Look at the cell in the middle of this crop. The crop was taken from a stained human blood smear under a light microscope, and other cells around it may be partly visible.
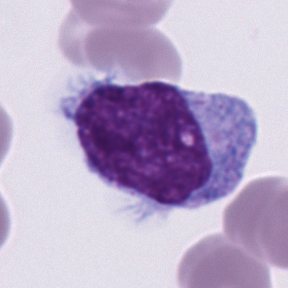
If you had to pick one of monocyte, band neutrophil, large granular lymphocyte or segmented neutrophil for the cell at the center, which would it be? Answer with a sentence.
In the centre of this crop there is a monocyte.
